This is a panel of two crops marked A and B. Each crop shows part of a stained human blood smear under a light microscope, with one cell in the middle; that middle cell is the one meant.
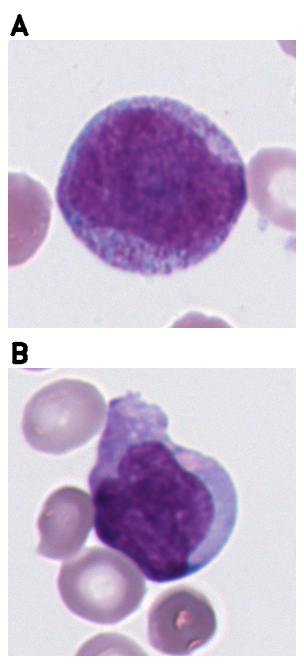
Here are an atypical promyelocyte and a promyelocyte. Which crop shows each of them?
A: promyelocyte
B: atypical promyelocyte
